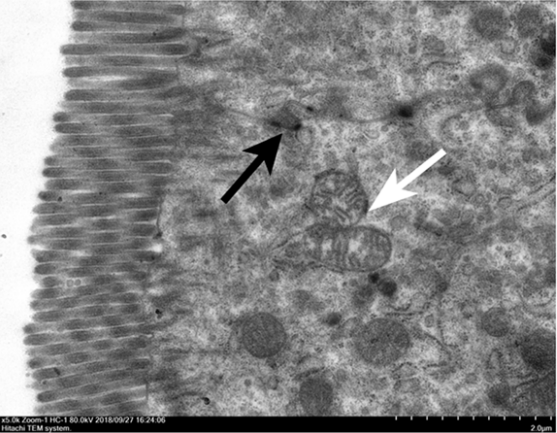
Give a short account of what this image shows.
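Apical cytoplasm of an intestinal epithelial cell with several mitochondria. A dense, regular brush border of closely packed, parallel microvilli lines the luminal surface at left. Beneath it the cytoplasm is finely granular with scattered small vesicles and membrane profiles. A small electron-dense spot lies at a membrane line near the apical region, marked by a black arrow.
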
